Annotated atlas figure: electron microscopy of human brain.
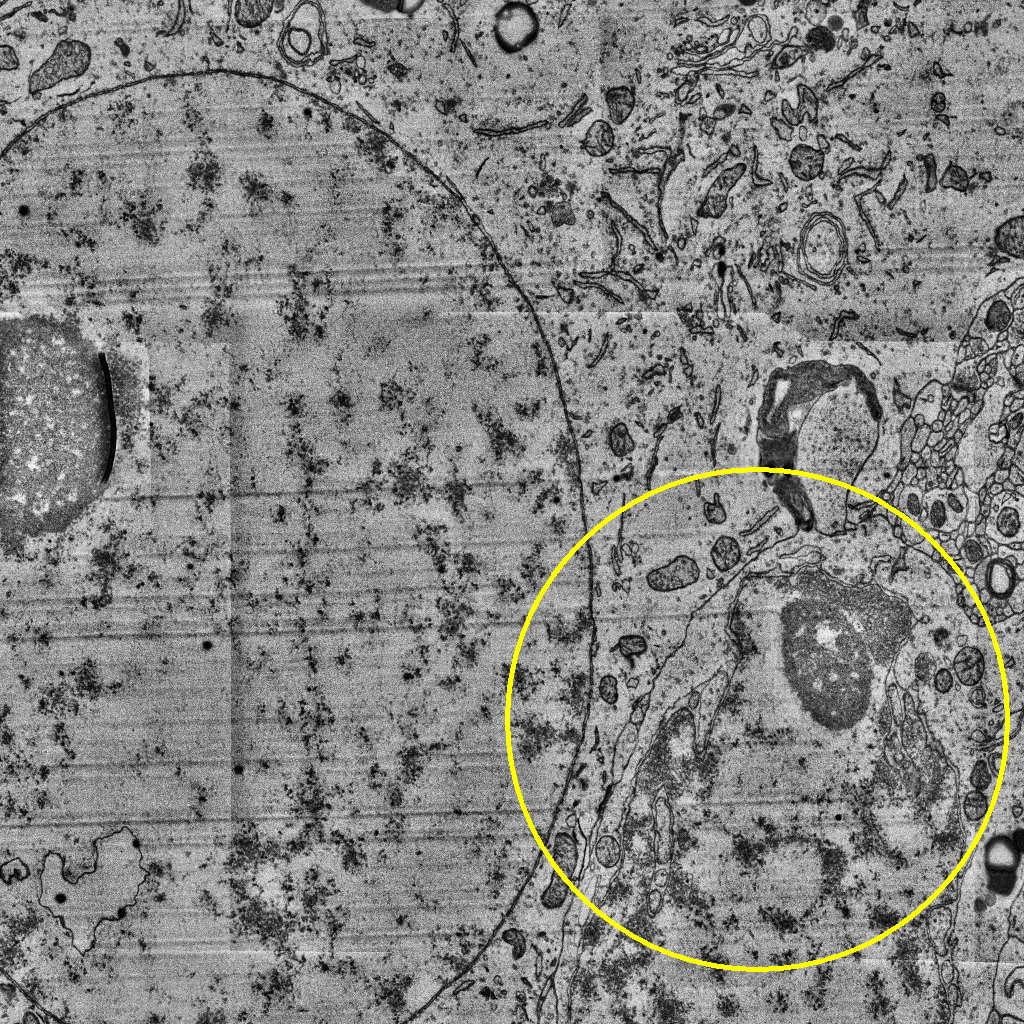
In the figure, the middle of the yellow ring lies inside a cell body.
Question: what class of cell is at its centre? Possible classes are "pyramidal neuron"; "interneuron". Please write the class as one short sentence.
The yellow ring's centre lies in an interneuron.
